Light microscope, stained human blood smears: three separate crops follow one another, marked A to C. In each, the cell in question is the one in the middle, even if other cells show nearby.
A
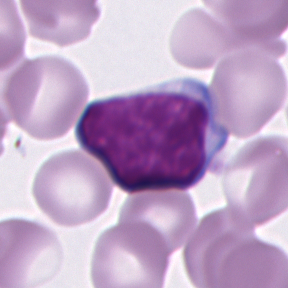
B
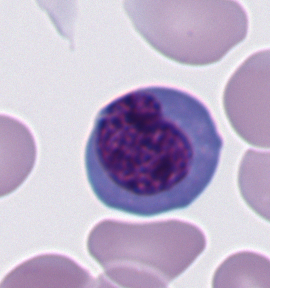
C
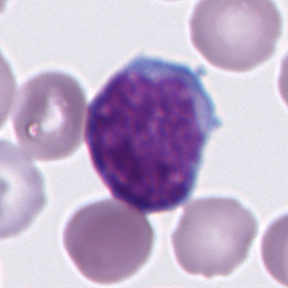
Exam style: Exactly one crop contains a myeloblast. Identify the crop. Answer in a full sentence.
Crop C is the one that shows a myeloblast.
